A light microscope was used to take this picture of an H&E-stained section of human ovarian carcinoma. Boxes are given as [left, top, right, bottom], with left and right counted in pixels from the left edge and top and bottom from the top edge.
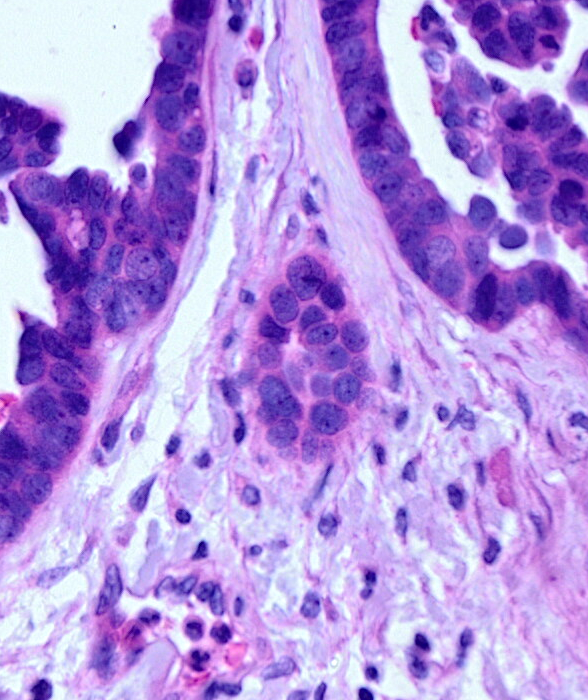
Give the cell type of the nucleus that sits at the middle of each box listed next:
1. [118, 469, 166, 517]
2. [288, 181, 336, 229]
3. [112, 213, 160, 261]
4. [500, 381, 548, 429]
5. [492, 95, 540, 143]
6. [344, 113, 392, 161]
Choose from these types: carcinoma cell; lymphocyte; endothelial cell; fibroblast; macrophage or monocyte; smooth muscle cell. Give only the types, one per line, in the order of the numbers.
fibroblast
fibroblast
carcinoma cell
fibroblast
carcinoma cell
carcinoma cell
